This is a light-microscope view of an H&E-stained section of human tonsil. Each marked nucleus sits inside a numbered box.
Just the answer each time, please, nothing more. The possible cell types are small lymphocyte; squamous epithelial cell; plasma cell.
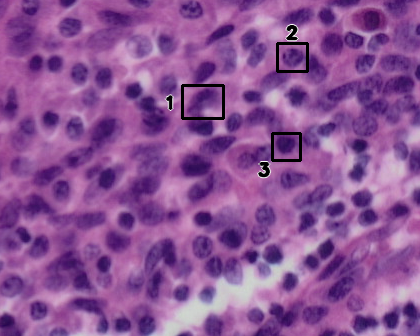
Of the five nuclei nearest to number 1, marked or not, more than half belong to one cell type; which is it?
squamous epithelial cell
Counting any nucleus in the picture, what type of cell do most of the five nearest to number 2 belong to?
squamous epithelial cell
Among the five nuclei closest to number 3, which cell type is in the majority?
plasma cell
